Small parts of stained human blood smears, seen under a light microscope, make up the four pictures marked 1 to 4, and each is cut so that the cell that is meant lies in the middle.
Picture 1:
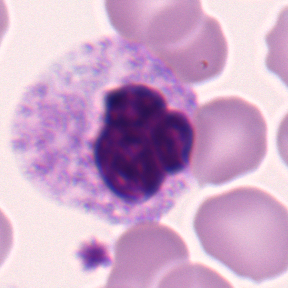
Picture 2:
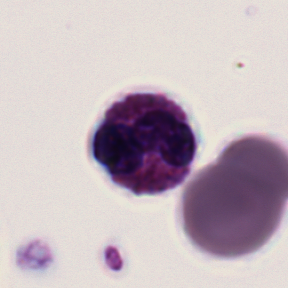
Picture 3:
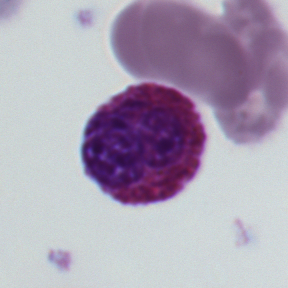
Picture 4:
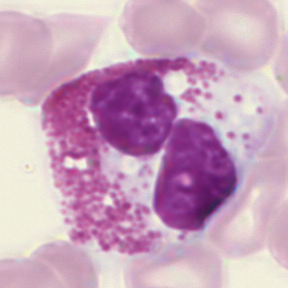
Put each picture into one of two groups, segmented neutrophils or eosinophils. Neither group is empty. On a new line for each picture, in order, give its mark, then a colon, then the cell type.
1: segmented neutrophil
2: eosinophil
3: eosinophil
4: eosinophil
